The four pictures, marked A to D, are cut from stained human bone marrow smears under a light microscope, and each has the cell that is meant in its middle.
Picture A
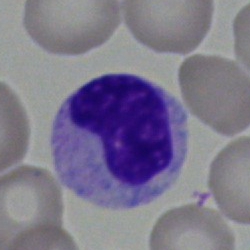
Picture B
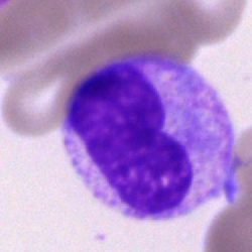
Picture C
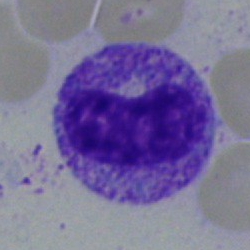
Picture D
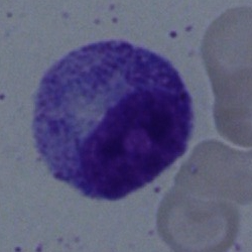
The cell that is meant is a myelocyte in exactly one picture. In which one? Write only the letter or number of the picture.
D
